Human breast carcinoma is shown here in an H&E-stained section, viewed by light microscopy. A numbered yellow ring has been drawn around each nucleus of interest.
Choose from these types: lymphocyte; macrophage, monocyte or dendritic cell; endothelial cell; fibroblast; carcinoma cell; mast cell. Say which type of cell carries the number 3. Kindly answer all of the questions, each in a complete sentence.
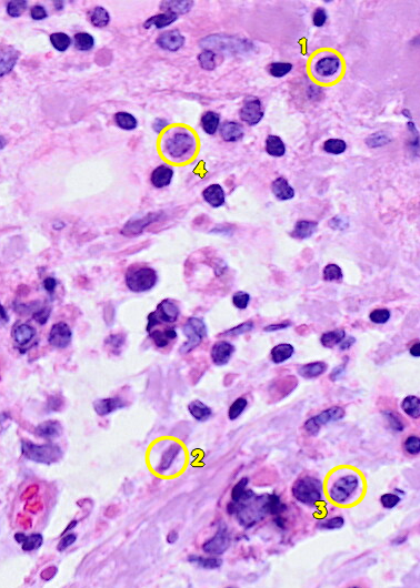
That cell with number 3 is a mast cell.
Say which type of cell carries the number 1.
Nucleus 1 in this section belongs to a mast cell.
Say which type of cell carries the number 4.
The cell numbered 4 has been identified as a macrophage, monocyte or dendritic cell.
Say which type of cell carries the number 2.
In the tissue shown, cell 2 is a fibroblast.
